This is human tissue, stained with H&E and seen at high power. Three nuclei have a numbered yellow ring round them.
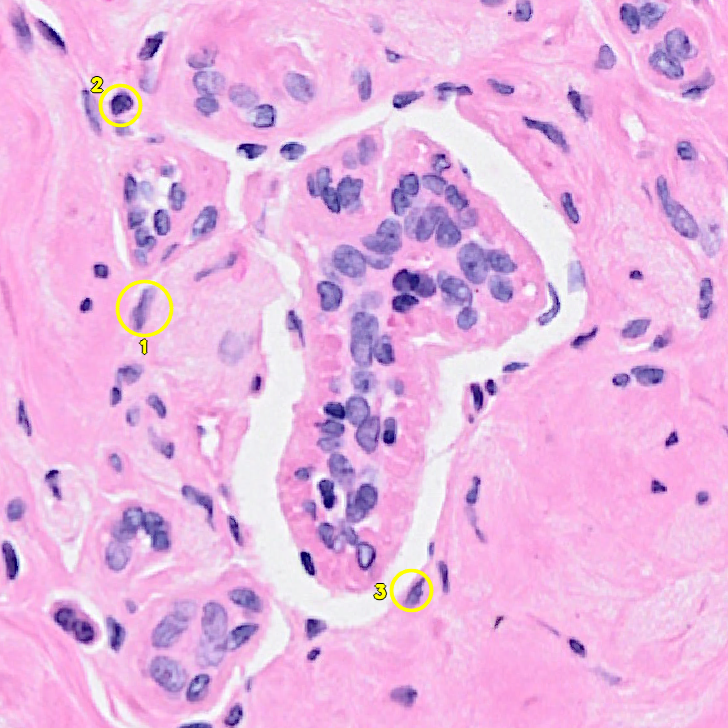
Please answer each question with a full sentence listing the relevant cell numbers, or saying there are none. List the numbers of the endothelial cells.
Only one of the numbered nuclei, number 3, belongs to an endothelial cell.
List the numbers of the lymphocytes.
It is only cell 2 that is a lymphocyte among the numbered cells.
